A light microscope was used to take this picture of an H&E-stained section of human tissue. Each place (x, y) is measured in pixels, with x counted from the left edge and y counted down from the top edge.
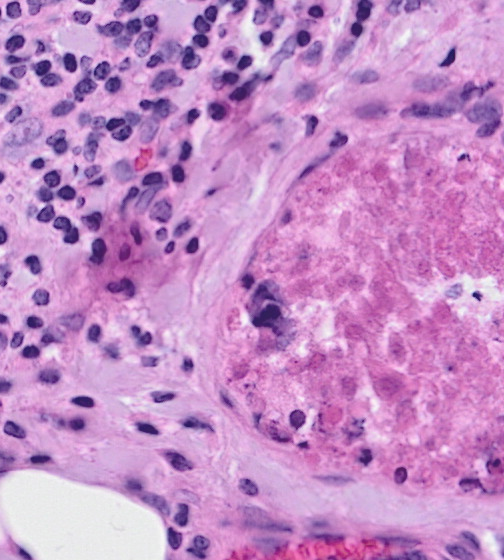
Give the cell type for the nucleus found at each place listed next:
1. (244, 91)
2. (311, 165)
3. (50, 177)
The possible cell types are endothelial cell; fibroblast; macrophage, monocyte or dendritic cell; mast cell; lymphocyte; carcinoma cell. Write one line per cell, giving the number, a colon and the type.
1: lymphocyte
2: fibroblast
3: lymphocyte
